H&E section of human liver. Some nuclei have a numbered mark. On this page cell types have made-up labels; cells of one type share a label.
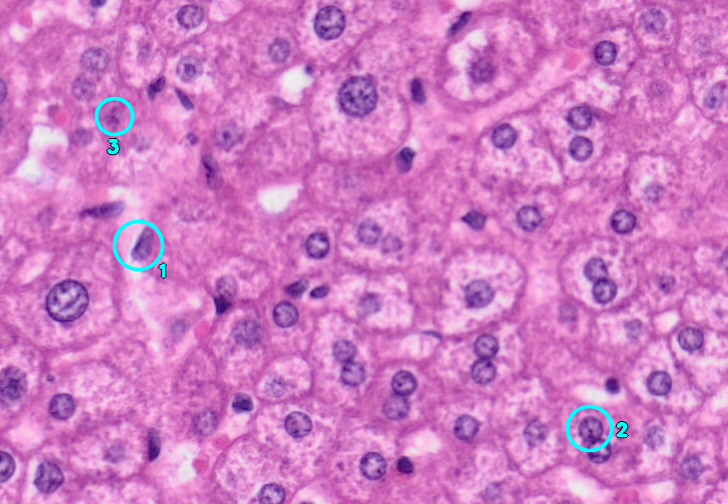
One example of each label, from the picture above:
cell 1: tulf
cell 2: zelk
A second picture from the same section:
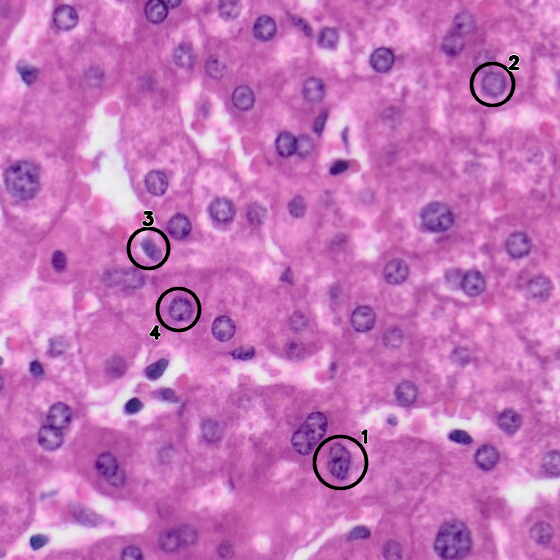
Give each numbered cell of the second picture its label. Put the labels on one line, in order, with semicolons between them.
zelk; zelk; tulf; zelk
